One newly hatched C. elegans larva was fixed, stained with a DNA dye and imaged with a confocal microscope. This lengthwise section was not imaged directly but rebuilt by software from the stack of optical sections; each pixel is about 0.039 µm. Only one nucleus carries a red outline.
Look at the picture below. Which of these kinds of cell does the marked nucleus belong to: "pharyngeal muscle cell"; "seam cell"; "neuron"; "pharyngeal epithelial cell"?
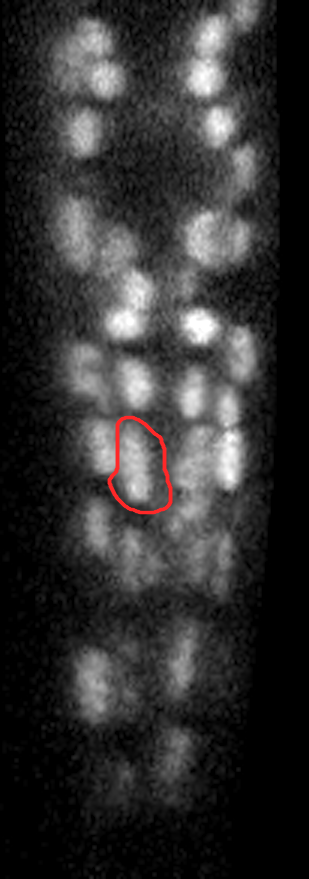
pharyngeal epithelial cell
